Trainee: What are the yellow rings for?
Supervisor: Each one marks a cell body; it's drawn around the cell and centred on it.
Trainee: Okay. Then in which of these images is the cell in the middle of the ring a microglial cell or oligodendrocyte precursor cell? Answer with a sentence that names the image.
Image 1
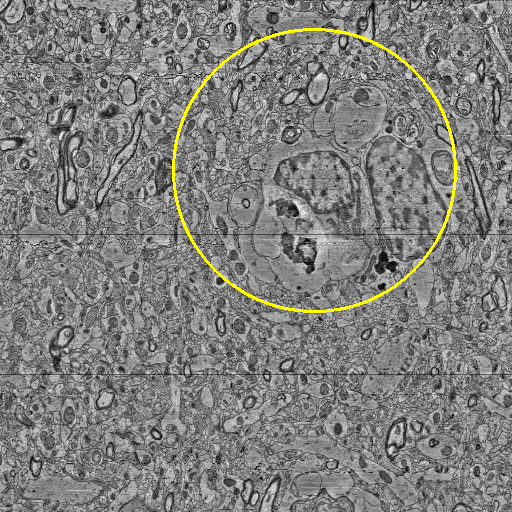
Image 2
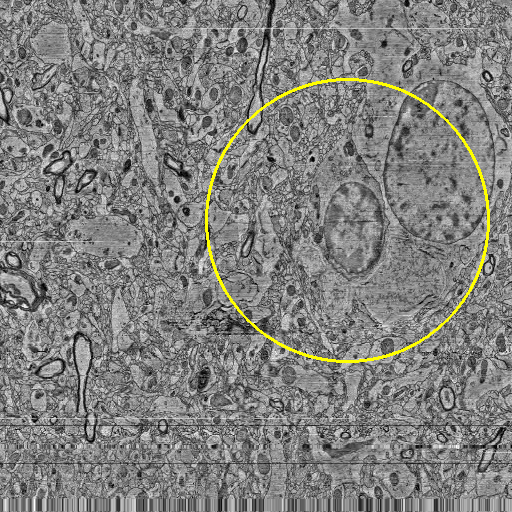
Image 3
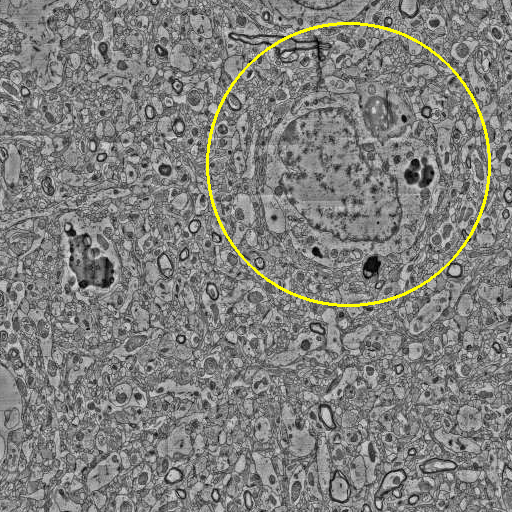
Image 1 has it in the middle of the ring.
